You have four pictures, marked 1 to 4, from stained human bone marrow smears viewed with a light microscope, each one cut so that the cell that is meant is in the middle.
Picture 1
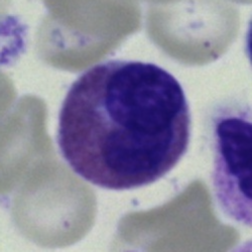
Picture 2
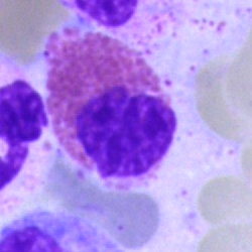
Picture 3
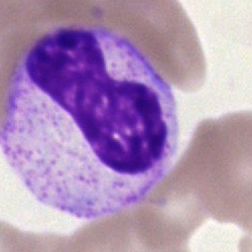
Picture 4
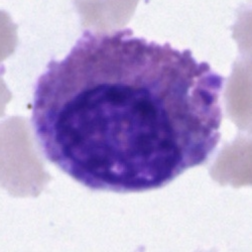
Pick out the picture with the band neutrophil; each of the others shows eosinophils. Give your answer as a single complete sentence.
Picture 3 is the one that shows the band neutrophil.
